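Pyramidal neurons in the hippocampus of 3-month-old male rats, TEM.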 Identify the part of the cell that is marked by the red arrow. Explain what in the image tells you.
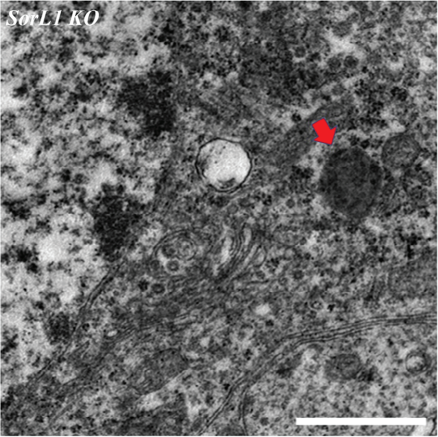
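A rounded body with dense, granular content. It is darker than the surrounding cytoplasm.
Conclusion: Lysosomes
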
